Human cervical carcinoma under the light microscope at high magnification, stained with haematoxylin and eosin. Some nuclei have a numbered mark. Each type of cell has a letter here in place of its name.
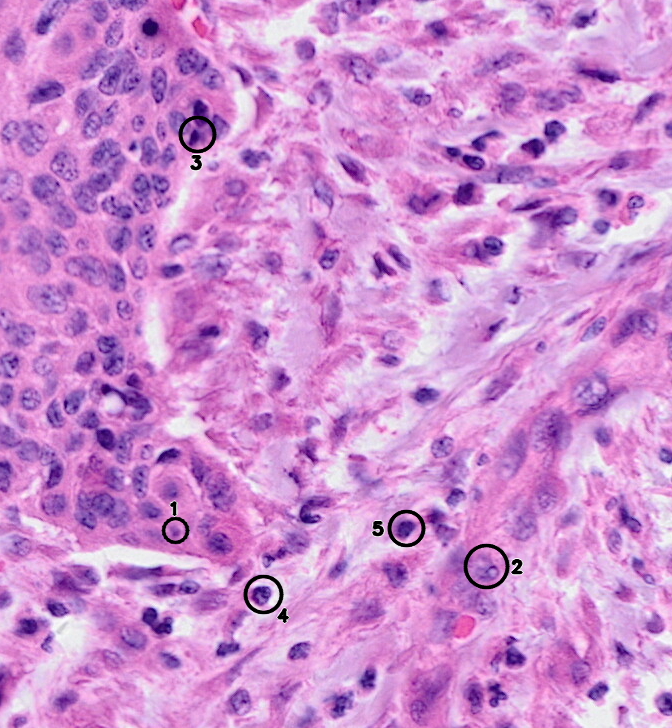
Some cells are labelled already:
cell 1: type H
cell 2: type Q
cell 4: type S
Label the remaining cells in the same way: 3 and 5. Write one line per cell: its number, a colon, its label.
3: type H
5: type S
